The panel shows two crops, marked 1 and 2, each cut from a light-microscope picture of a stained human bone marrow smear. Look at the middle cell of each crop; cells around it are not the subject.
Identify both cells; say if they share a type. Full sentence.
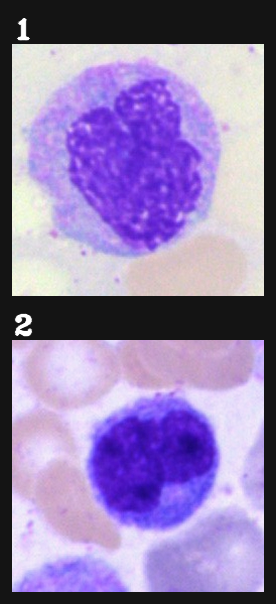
Yes, put down monocytes for both crops.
